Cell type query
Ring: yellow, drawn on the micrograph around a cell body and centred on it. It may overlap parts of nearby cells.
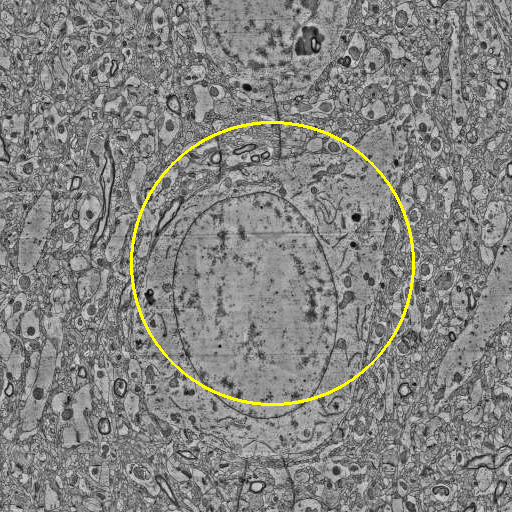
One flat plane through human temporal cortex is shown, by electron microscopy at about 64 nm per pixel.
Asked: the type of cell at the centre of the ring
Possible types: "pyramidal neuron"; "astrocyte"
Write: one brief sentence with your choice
The ring marks a pyramidal neuron.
